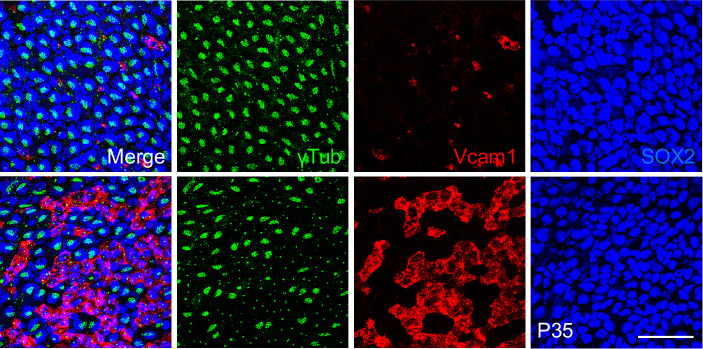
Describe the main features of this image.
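In the upper row the green patches are abundant and red signal is sparse, confined to scattered small cell surfaces. In the lower row large, irregular red areas cover much of the surface, and fewer cells carry green clusters, while others show only a single green dot.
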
